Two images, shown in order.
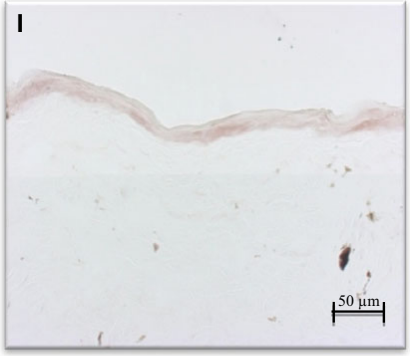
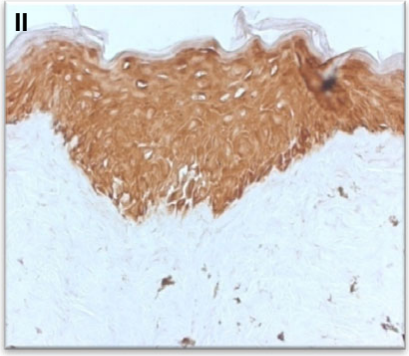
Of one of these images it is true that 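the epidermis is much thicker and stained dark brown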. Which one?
The second image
